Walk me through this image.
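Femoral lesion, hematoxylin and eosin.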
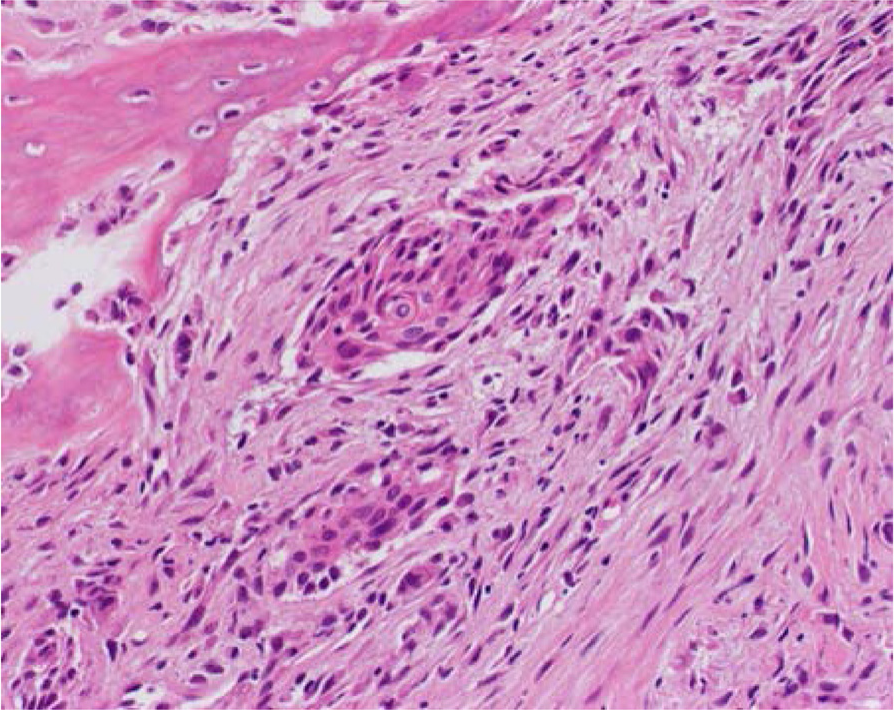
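This section shows clusters of epithelial tumour cells with squamous differentiation lying within fibrous stroma. In the centre, a nest of cells with oval nuclei and fairly abundant pink cytoplasm is arranged in concentric whorls around a small round pink body. A second, smaller cluster of similar cells lies below it. Around the nests, spindle-shaped cells with elongated dark nuclei stream through pale pink fibrillar tissue. In the upper left corner lies a band of dense pink matrix with small cells in lacunae, resembling bone.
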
